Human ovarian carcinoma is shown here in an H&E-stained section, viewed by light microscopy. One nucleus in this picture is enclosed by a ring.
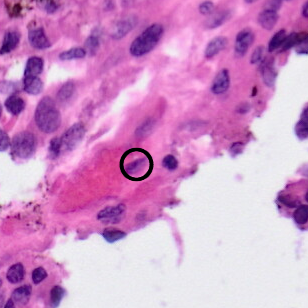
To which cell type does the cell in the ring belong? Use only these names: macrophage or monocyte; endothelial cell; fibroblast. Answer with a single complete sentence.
The cell meant here is an endothelial cell.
